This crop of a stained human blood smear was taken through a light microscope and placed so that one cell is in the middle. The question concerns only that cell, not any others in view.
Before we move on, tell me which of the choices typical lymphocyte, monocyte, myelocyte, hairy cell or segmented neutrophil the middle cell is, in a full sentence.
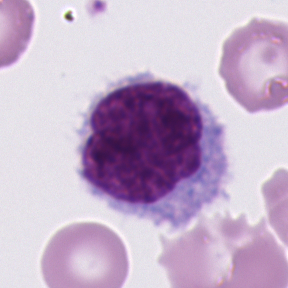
The single cell at the center of the crop is a hairy cell.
